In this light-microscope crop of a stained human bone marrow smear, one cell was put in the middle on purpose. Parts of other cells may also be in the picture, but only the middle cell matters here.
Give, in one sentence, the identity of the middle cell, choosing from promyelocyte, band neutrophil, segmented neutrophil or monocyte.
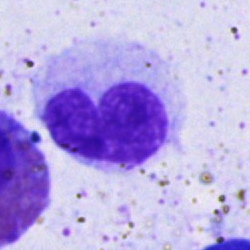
On this slide crop, the central cell is a band neutrophil.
